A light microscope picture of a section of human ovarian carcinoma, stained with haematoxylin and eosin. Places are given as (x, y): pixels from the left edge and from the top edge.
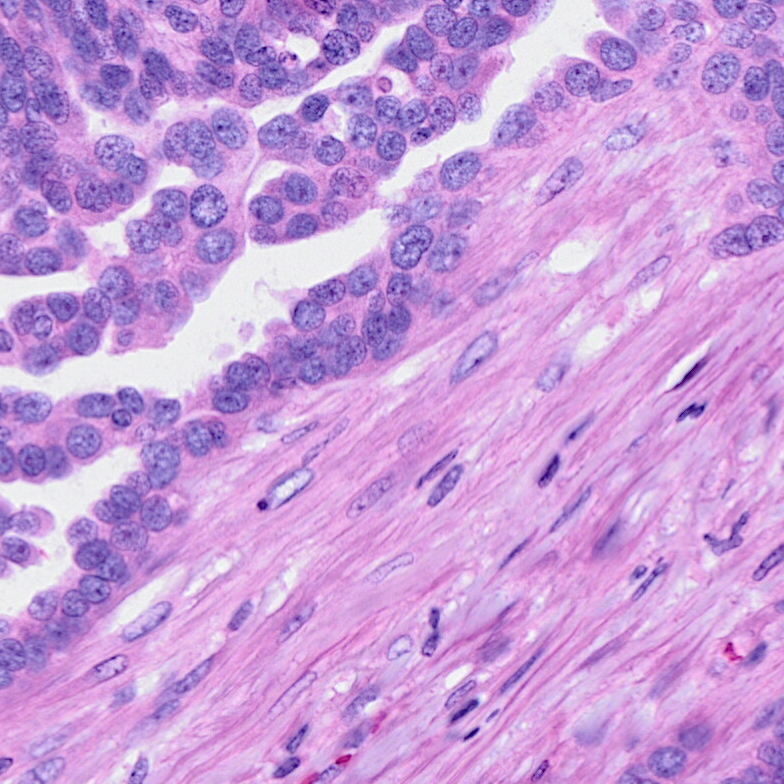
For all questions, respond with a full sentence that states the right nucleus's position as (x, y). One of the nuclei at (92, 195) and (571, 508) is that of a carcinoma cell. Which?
Of the two nuclei, the nucleus of a carcinoma cell is at (92, 195).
